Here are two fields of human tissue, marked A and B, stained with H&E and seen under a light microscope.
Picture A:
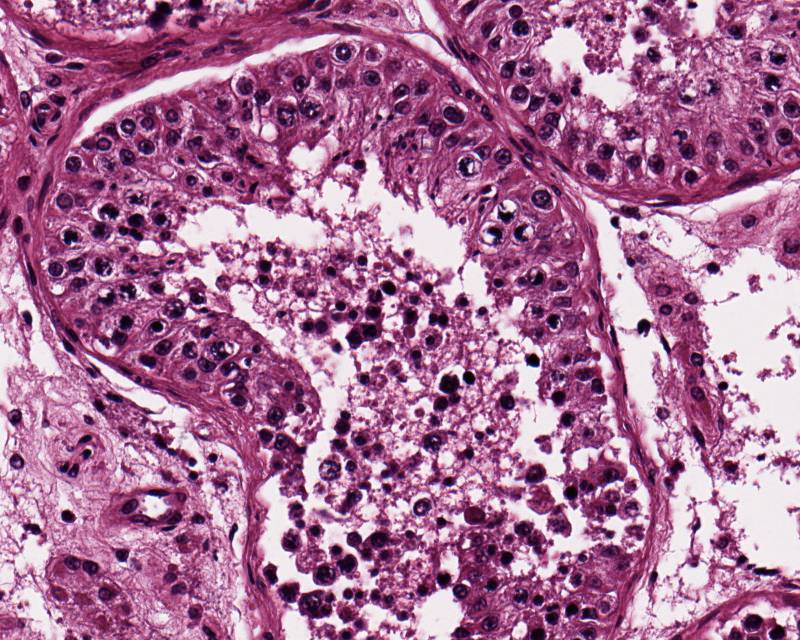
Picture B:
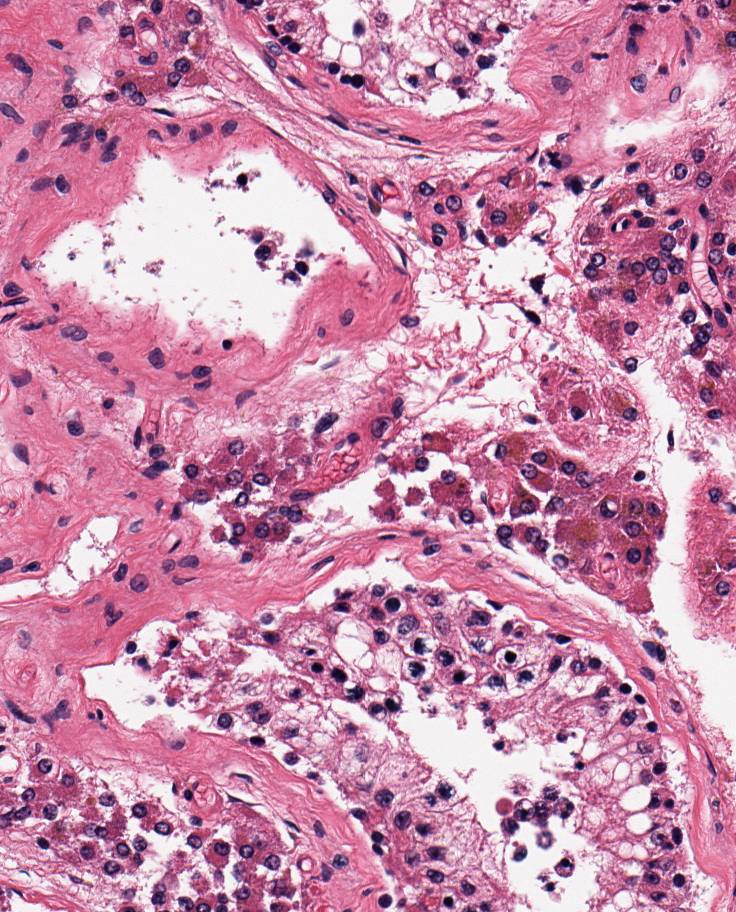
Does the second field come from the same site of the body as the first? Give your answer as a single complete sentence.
Yes; both pictures come from the testis.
